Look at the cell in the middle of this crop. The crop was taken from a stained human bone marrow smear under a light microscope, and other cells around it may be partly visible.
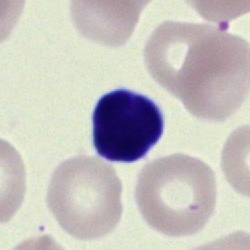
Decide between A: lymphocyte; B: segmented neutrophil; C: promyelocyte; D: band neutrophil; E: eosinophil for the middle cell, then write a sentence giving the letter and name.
Option A gives the correct identity of the central cell, namely a lymphocyte.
